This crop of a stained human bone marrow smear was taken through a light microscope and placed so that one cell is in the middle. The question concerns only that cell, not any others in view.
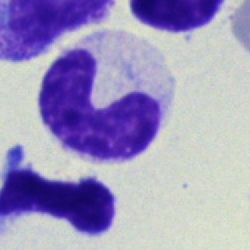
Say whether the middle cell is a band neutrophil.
yes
